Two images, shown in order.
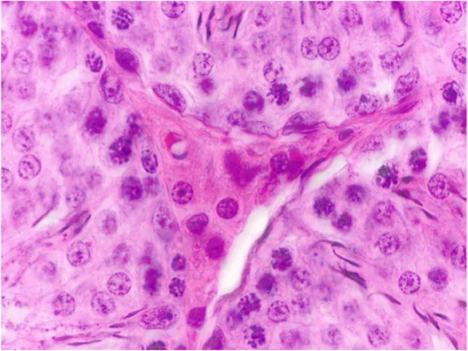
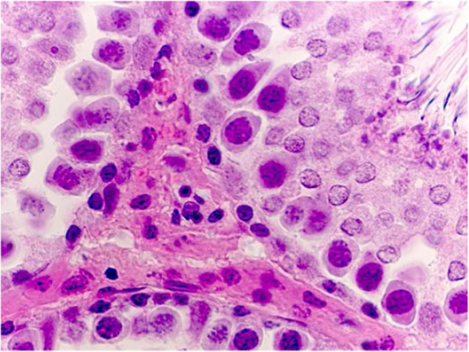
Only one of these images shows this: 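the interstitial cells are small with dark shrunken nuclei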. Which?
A: the second image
